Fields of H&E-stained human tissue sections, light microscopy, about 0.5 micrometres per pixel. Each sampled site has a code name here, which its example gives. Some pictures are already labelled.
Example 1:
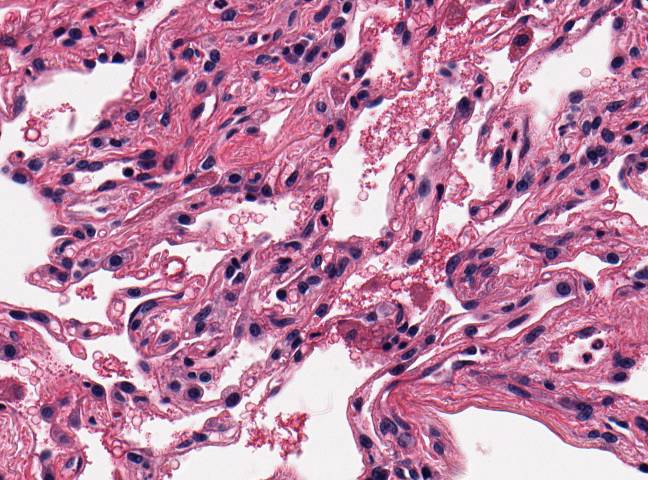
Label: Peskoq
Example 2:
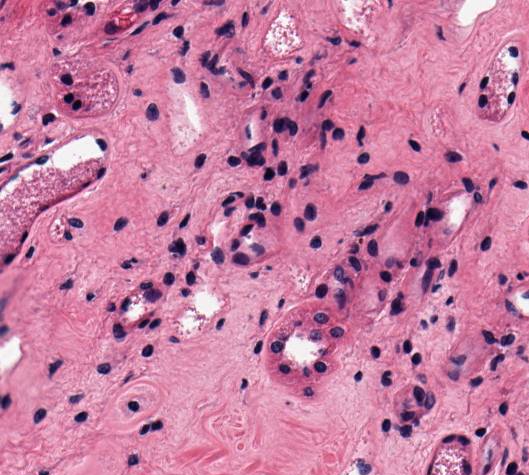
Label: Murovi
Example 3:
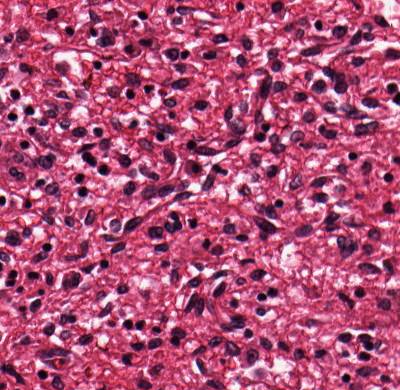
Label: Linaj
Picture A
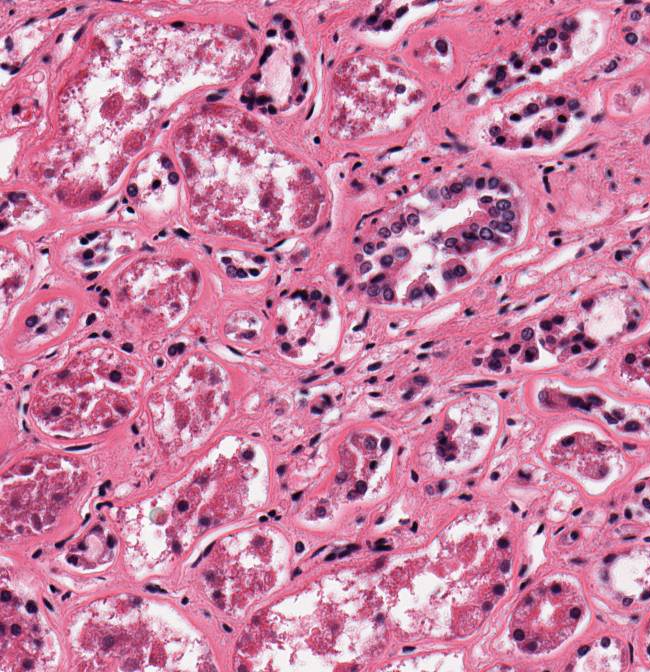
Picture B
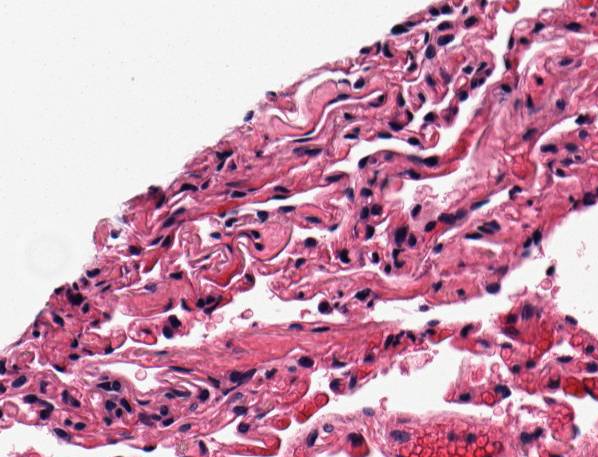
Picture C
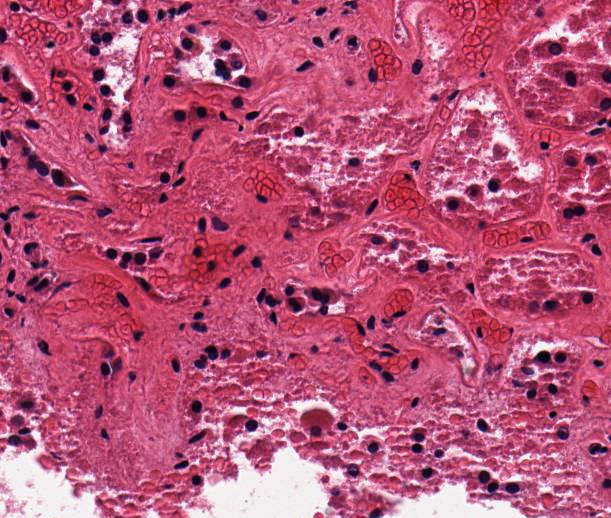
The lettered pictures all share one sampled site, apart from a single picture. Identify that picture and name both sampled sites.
Picture B: Peskoq. All others: Murovi.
